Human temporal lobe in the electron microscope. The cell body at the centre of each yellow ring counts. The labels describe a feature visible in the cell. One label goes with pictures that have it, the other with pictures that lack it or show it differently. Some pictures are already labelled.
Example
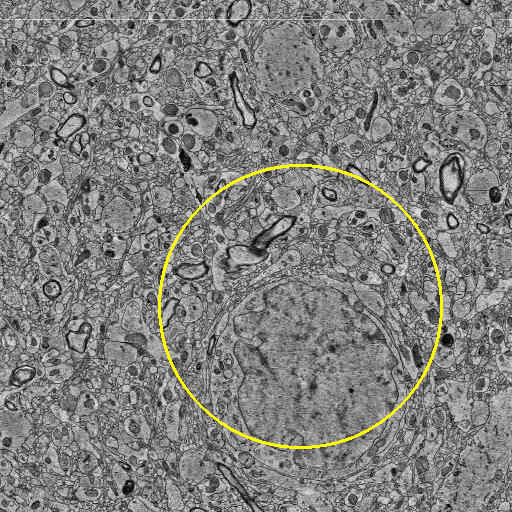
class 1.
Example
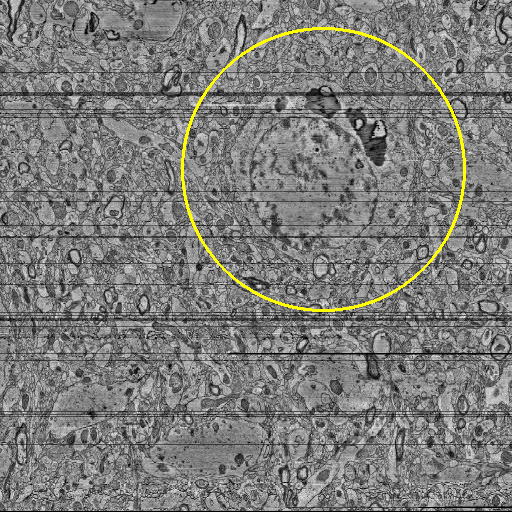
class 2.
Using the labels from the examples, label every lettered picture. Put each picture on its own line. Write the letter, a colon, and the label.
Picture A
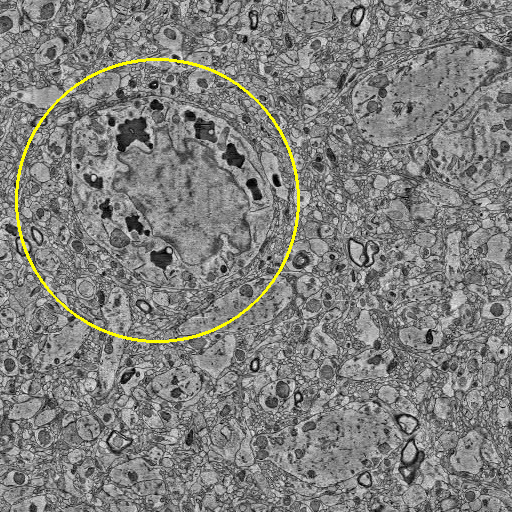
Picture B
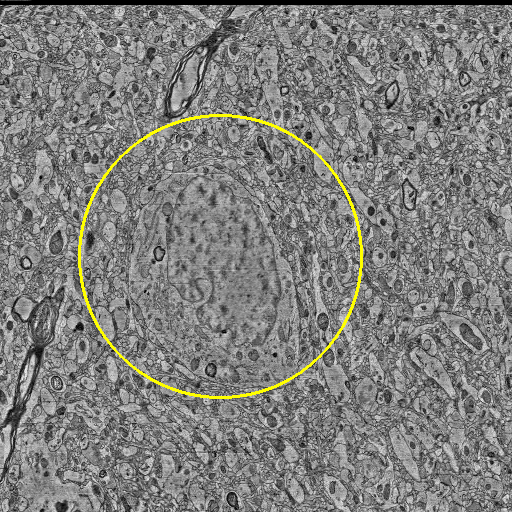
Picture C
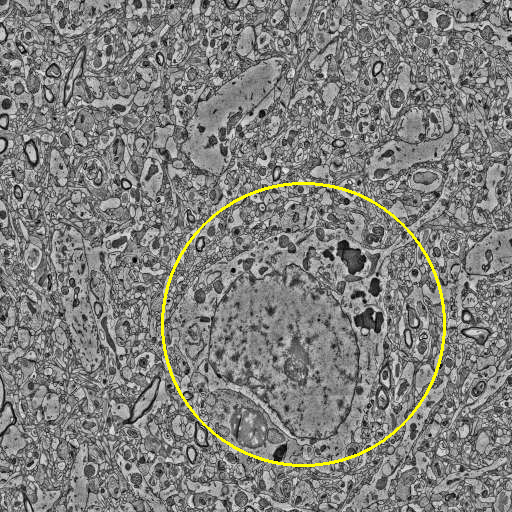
A: class 1.
B: class 1.
C: class 2.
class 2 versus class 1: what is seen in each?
class 2: smooth nuclear envelopes without deep folds; class 1: deeply folded or indented nuclear envelopes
